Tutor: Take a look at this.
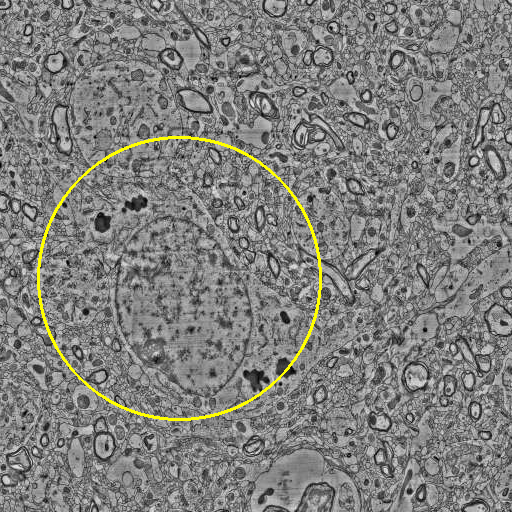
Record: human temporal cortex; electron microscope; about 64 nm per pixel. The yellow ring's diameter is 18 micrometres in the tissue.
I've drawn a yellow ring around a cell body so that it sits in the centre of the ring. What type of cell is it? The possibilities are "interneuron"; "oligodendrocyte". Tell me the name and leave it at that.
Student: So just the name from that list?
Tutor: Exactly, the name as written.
interneuron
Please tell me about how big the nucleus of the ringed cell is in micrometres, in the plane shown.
Roughly 12 by 8 micrometres in this plane, for the nucleus of the ringed cell.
